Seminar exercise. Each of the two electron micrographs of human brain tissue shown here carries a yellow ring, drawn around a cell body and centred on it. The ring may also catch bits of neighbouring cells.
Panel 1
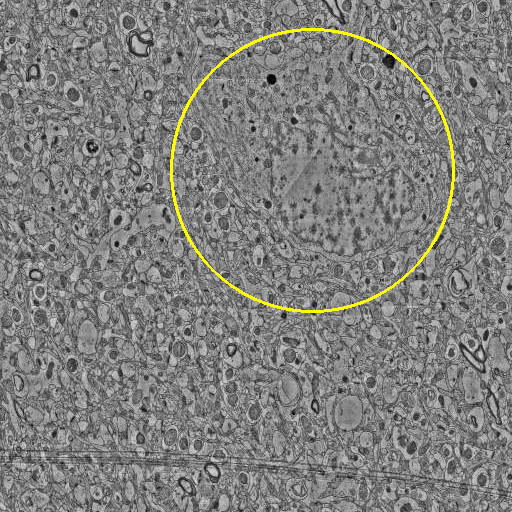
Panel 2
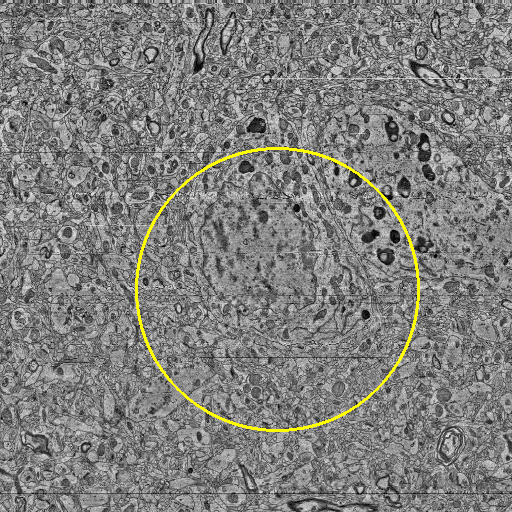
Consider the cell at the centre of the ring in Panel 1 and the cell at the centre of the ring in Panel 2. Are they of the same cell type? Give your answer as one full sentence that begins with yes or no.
Yes, both cells are of the same type.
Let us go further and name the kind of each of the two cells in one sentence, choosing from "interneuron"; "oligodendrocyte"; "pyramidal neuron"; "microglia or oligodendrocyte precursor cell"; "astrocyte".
In each of the two pictures, the ringed cell is an interneuron.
